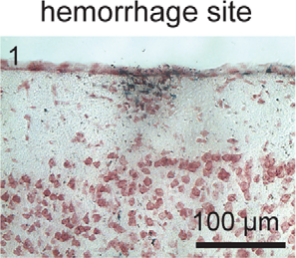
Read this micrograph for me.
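This section shows the surface of the brain with neuronal cell bodies stained pink. A thin pink-lined layer runs along the top edge, beneath which lies a pale, sparsely cellular layer with scattered small elongated pink profiles. Deeper down, pink neuronal cell bodies are densely packed in a broad band. Just below the surface a cluster of black granular deposits forms a dark patch, with a faint trail extending downward into the pale layer.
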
